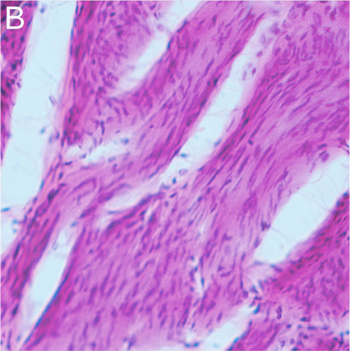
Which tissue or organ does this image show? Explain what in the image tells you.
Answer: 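Bundles of pink elongated cells run in parallel. Nuclei are elongated and spindle-shaped, aligned with the bundles. Clear spaces separate the bundles. The answer: smooth muscle.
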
